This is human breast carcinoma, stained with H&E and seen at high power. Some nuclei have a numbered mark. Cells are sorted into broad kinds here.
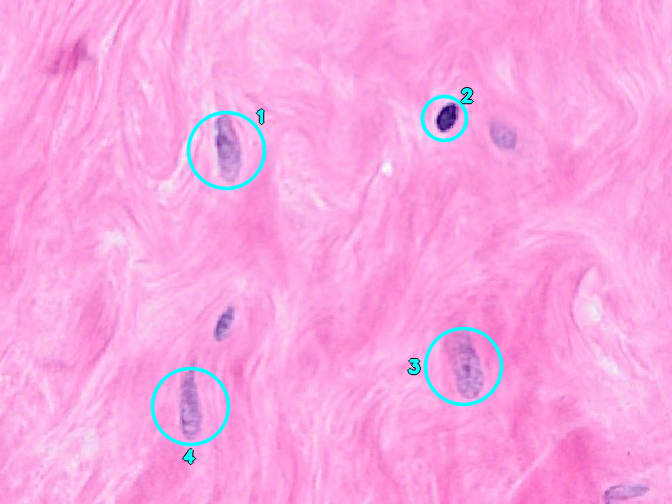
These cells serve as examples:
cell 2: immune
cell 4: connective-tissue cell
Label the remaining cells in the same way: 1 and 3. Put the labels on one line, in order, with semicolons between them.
connective-tissue cell; connective-tissue cell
